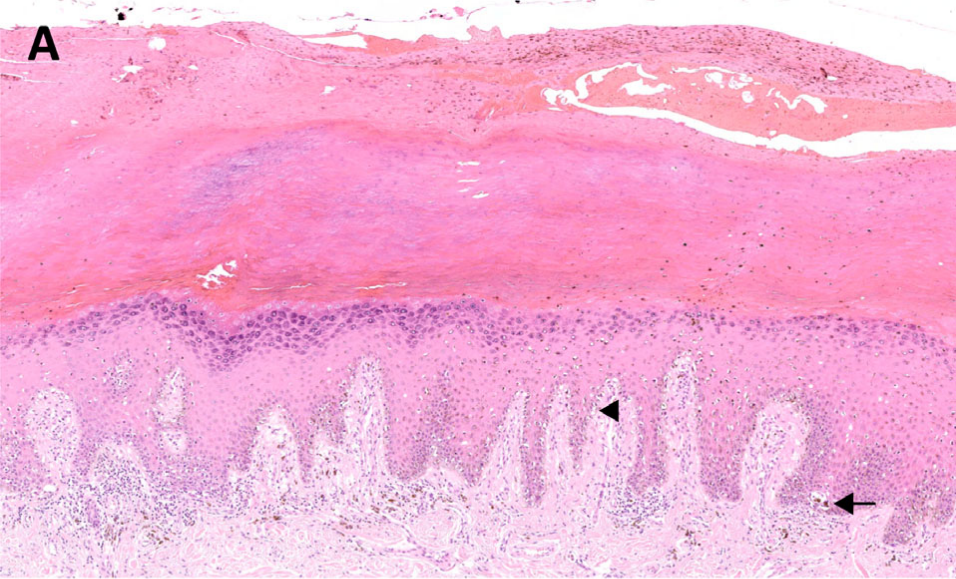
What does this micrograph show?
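Acral skin with a markedly thickened epidermis and an atypical melanocytic proliferation at the dermoepidermal junction. A very thick layer of compact pink keratin covers the surface, above a prominent granular layer. The epidermis is thickened with long, slender rete ridges projecting into the dermis. Cells with clear halos lie singly along the basal layer and are also scattered higher in the epidermis, with small clusters at the tips of the rete ridges. The upper dermis holds scattered inflammatory cells and brown pigment.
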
